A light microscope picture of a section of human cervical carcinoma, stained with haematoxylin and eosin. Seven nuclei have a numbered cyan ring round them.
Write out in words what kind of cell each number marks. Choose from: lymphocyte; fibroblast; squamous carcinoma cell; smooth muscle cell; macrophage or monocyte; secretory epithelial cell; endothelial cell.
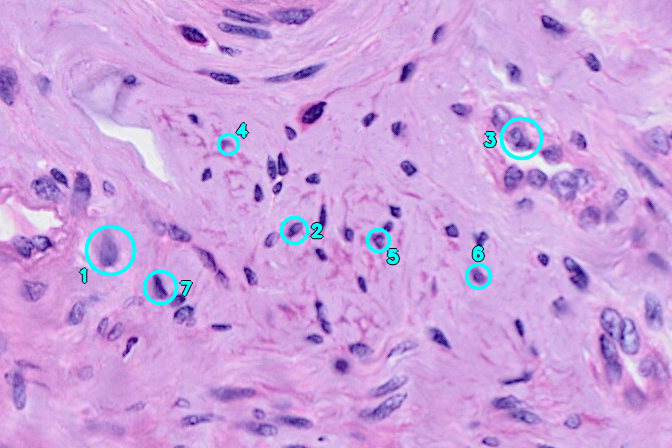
Cell 1 is a fibroblast, cell 2 is a smooth muscle cell, cell 3 is an endothelial cell, cell 4 is a smooth muscle cell, cell 5 is a smooth muscle cell, cell 6 is a smooth muscle cell and cell 7 is a fibroblast.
